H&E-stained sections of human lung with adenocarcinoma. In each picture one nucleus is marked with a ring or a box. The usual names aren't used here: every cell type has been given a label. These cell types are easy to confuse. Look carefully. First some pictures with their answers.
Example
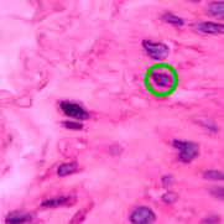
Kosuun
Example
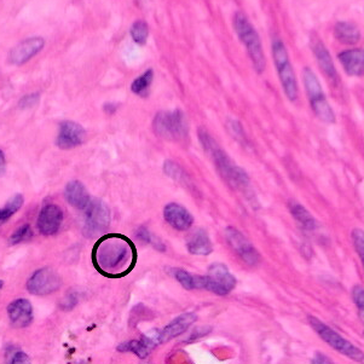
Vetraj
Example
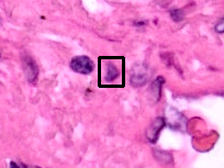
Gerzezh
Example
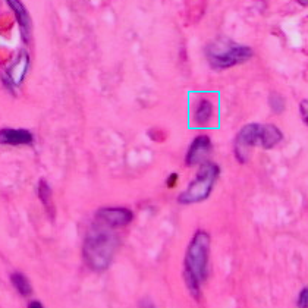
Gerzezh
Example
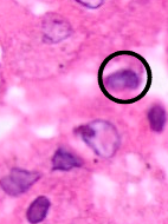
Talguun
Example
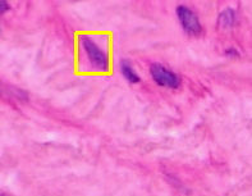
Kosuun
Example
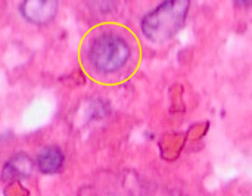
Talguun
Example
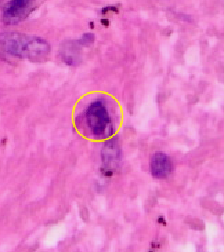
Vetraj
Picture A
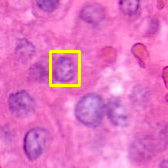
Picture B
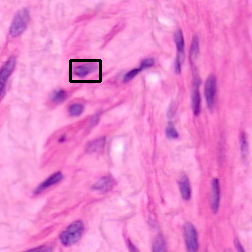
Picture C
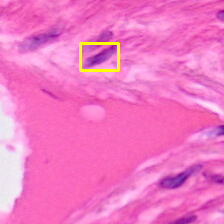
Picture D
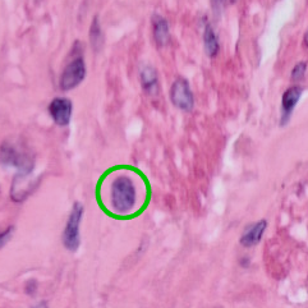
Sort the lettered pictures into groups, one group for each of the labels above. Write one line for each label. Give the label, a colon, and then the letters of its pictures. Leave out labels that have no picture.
Kosuun: B, C
Gerzezh: D
Talguun: A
